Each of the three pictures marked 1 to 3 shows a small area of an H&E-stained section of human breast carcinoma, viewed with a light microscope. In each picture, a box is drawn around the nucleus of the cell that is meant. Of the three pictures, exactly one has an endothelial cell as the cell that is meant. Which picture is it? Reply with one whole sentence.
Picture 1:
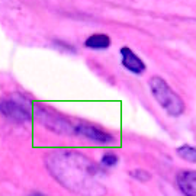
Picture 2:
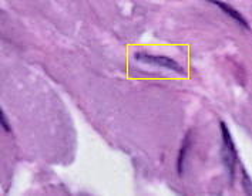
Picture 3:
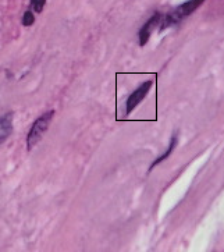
The endothelial cell is the one in picture 1.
